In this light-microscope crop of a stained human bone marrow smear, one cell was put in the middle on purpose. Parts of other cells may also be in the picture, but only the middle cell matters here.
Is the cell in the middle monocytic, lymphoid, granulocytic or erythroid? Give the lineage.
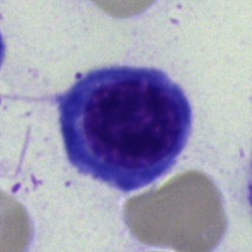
erythroid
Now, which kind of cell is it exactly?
erythroblast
